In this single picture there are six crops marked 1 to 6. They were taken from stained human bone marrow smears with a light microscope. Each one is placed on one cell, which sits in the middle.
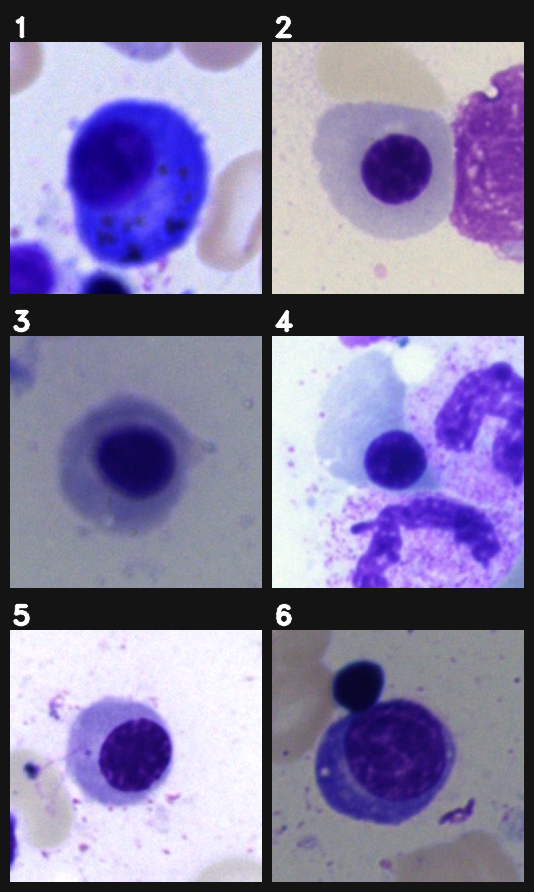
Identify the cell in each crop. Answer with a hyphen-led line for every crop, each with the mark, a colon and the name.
- 1: plasma cell
- 2: erythroblast
- 3: erythroblast
- 4: erythroblast
- 5: erythroblast
- 6: plasma cell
